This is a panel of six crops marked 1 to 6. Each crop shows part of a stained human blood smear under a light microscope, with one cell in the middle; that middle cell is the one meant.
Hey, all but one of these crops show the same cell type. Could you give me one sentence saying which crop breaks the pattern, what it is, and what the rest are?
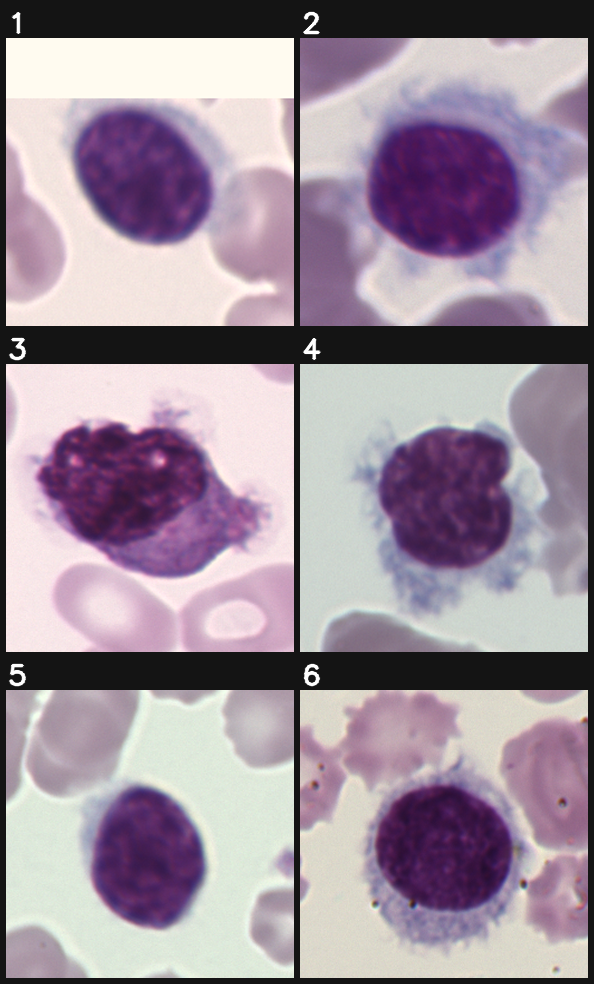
All the crops show hairy cells, barring crop 3, which is a monocyte.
